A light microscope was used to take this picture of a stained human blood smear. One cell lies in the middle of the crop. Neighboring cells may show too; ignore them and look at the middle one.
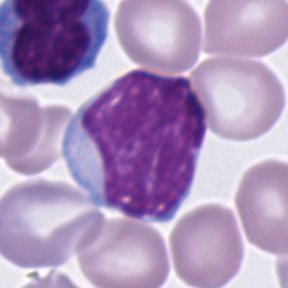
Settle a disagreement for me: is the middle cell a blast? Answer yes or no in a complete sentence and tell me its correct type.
Yes, the cell that is in the middle is a blast.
